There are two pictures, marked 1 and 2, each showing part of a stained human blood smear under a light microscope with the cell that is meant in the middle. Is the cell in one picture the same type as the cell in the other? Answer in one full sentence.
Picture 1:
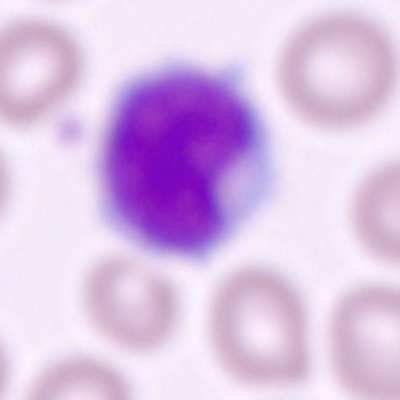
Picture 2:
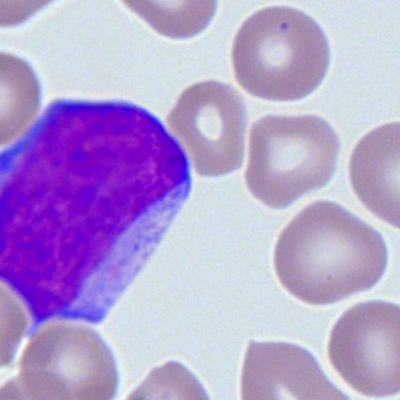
No, the types are not the same, since picture 1 shows a lymphocyte and picture 2 a myeloblast.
